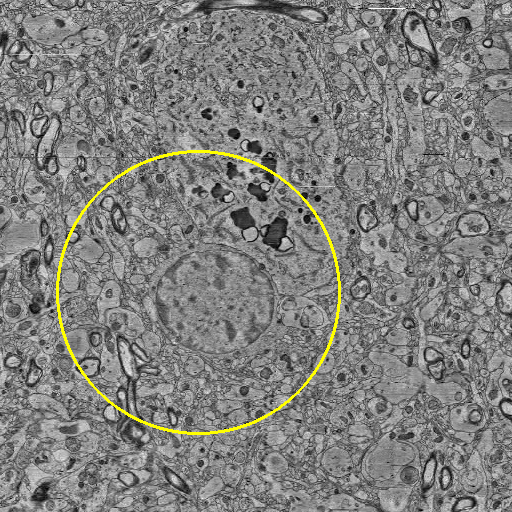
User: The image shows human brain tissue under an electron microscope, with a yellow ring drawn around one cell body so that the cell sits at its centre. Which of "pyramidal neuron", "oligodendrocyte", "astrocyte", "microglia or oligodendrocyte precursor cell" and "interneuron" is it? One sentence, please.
At the centre of the ring sits an oligodendrocyte.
